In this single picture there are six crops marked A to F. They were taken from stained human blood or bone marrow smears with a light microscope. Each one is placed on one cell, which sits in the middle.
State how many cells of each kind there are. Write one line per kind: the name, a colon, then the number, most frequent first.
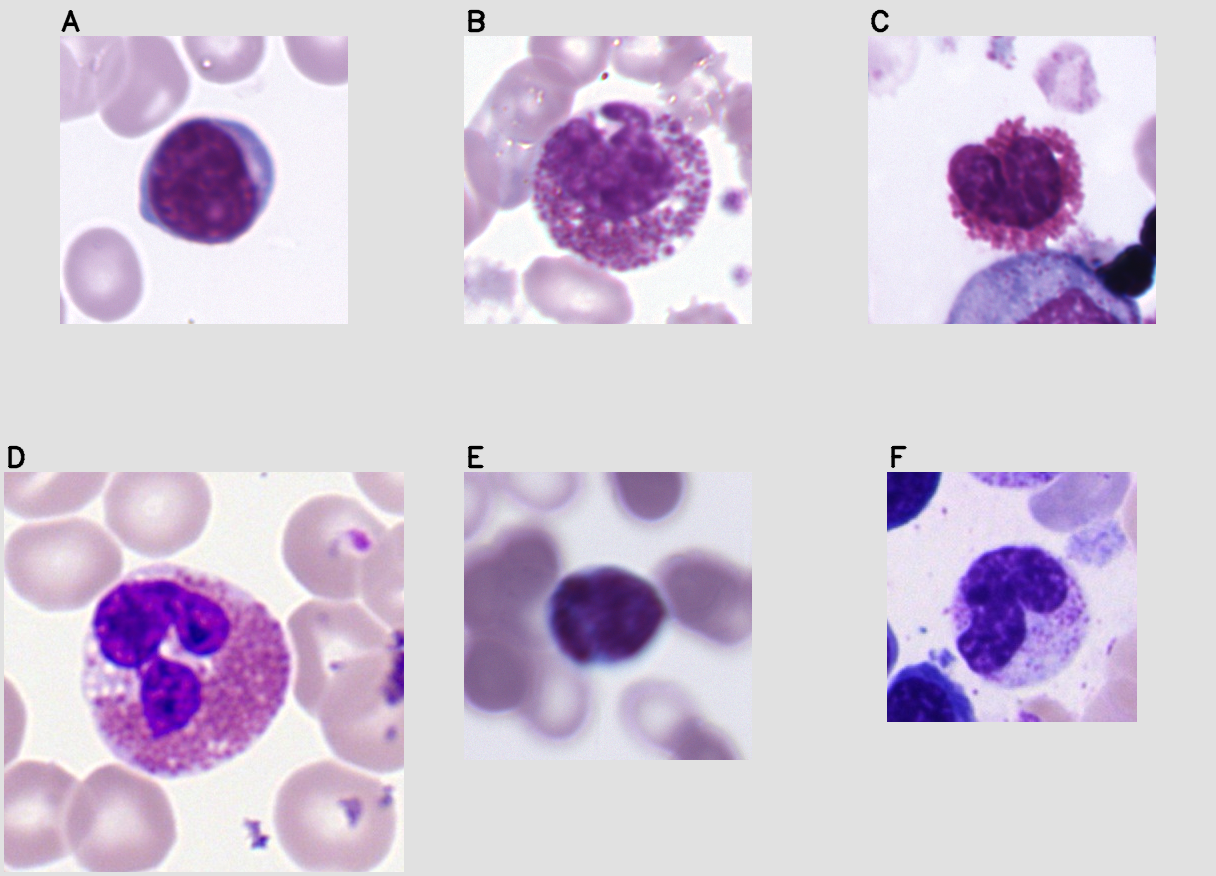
eosinophil: 3
lymphocyte: 2
band neutrophil: 1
